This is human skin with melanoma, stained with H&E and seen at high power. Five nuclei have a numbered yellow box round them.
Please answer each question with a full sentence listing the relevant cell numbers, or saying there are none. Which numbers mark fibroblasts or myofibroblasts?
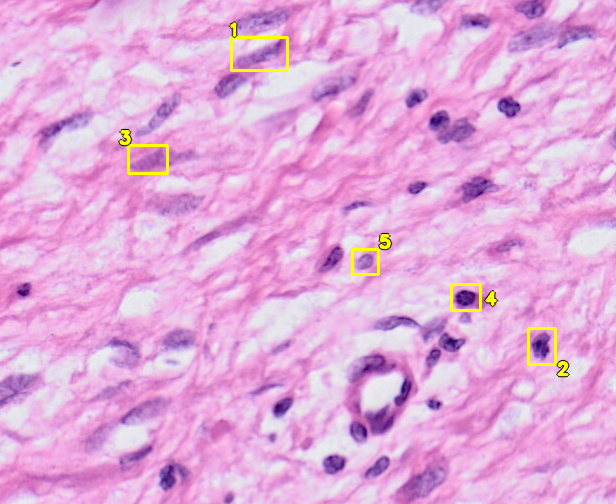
In this section, the cells numbered 1 and 3 are fibroblasts or myofibroblasts.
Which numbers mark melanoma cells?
The numbered cells are all of types other than melanoma cells.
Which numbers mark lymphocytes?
Only cell 2 is a lymphocyte; none of the other numbered cells is.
